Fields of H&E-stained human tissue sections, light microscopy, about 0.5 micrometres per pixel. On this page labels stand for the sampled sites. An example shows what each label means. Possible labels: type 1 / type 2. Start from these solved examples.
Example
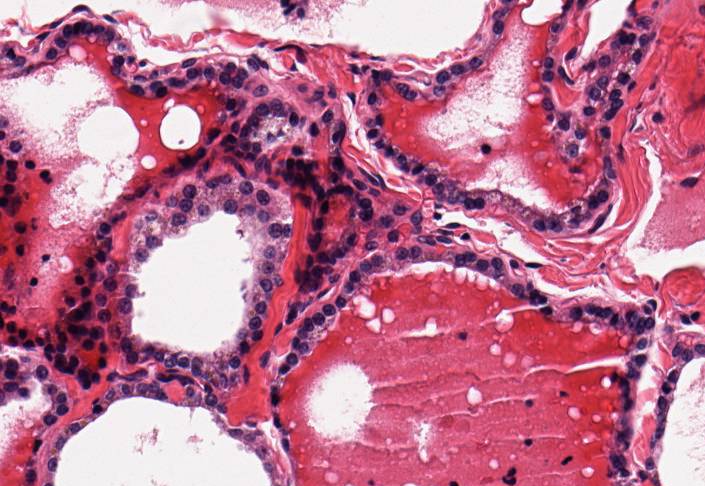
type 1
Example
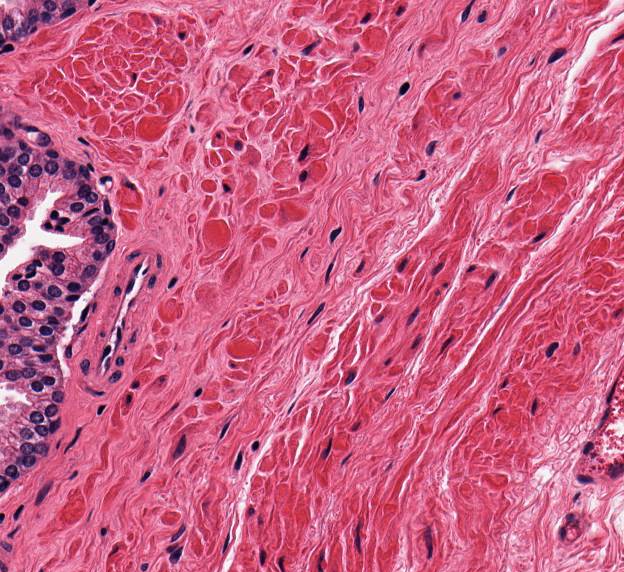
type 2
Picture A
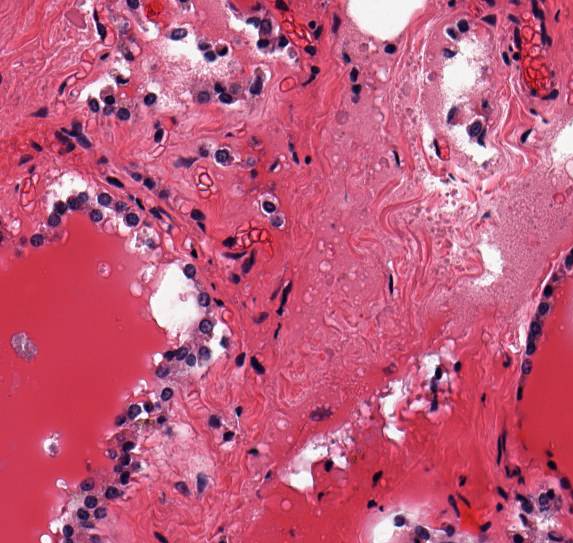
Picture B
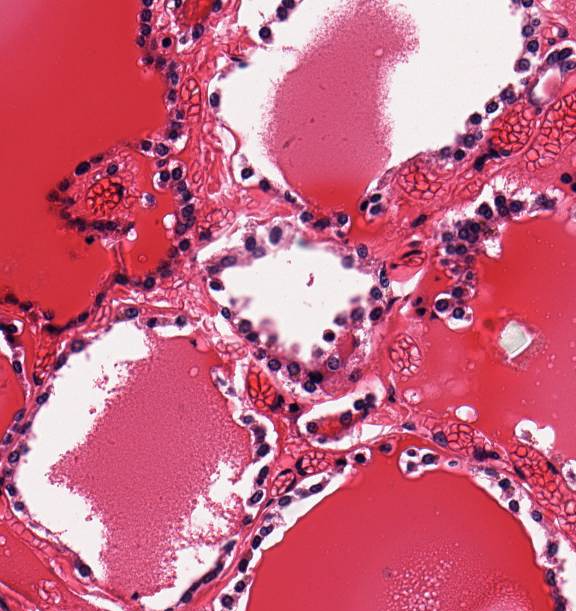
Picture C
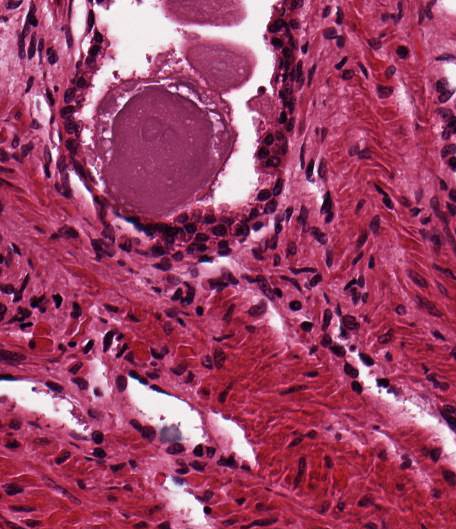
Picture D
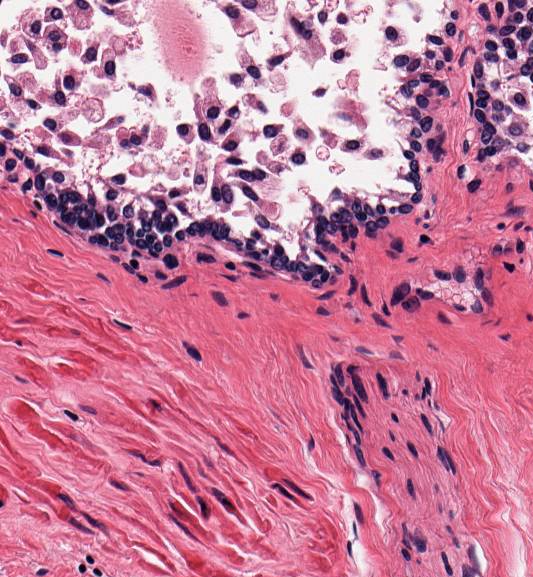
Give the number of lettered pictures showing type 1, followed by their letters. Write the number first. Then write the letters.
2: A, B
